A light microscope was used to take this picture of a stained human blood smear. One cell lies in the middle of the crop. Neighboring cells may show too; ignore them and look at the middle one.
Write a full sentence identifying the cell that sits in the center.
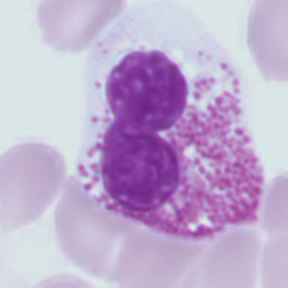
The center cell of this crop is an eosinophil.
